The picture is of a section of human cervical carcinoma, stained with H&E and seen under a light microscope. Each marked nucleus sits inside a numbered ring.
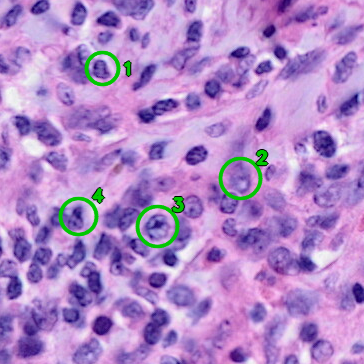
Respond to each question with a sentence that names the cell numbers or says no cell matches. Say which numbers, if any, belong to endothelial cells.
In short, cell 2 is an endothelial cell; the others are not.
